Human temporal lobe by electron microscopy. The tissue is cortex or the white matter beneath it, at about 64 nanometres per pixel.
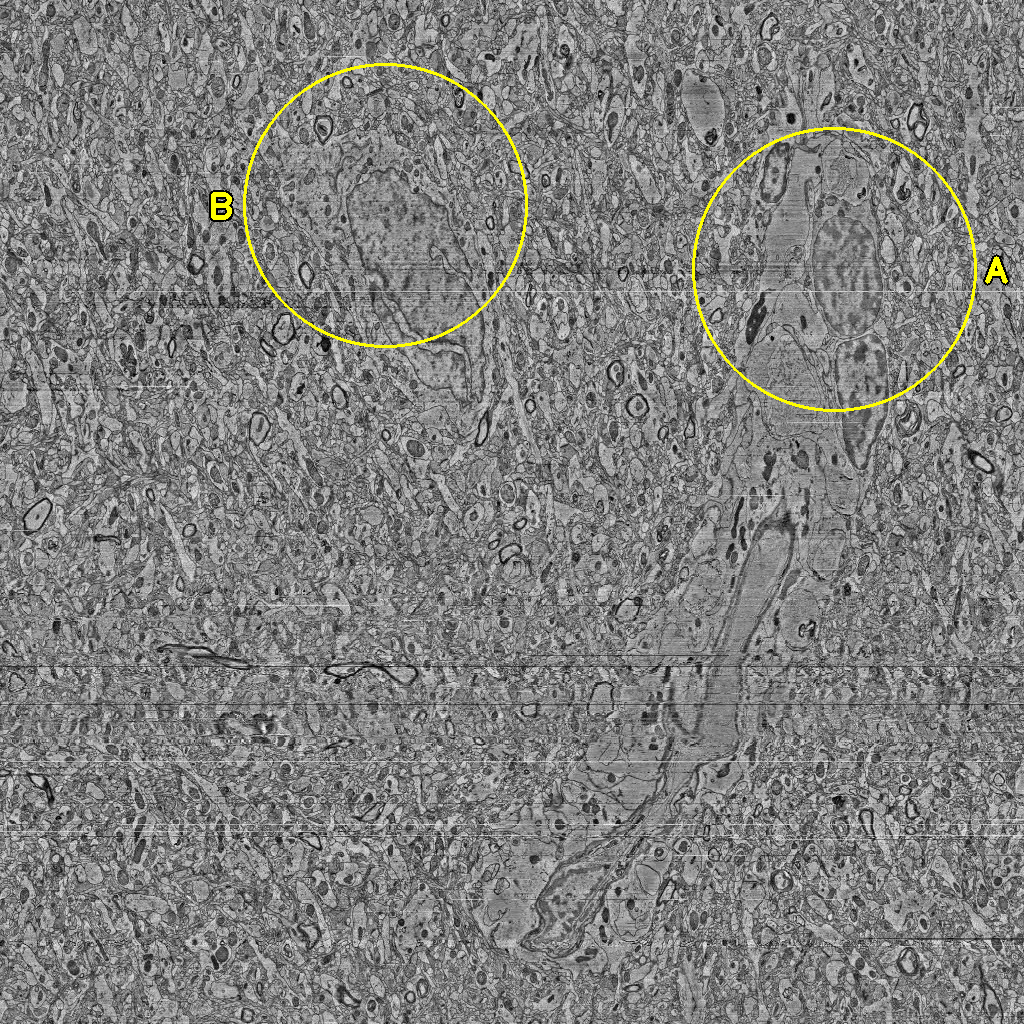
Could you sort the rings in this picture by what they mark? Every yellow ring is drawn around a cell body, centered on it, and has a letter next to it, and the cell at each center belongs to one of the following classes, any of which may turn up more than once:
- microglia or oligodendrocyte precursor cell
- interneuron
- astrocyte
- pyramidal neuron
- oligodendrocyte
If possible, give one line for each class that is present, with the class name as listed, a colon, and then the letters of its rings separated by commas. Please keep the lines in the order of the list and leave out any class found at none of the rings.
interneuron: B
oligodendrocyte: A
